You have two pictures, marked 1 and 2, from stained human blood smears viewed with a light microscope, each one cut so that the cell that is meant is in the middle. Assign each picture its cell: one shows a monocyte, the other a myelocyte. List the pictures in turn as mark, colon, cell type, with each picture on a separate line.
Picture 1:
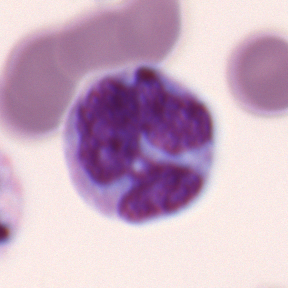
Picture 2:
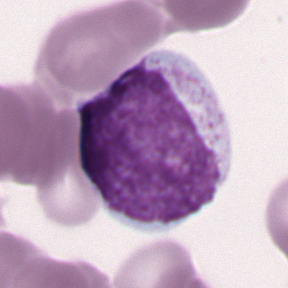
1: monocyte
2: myelocyte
